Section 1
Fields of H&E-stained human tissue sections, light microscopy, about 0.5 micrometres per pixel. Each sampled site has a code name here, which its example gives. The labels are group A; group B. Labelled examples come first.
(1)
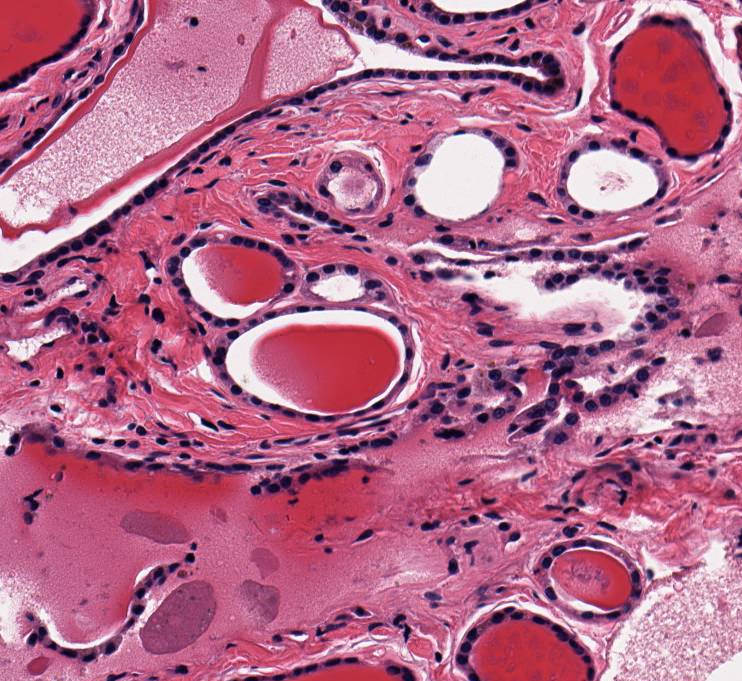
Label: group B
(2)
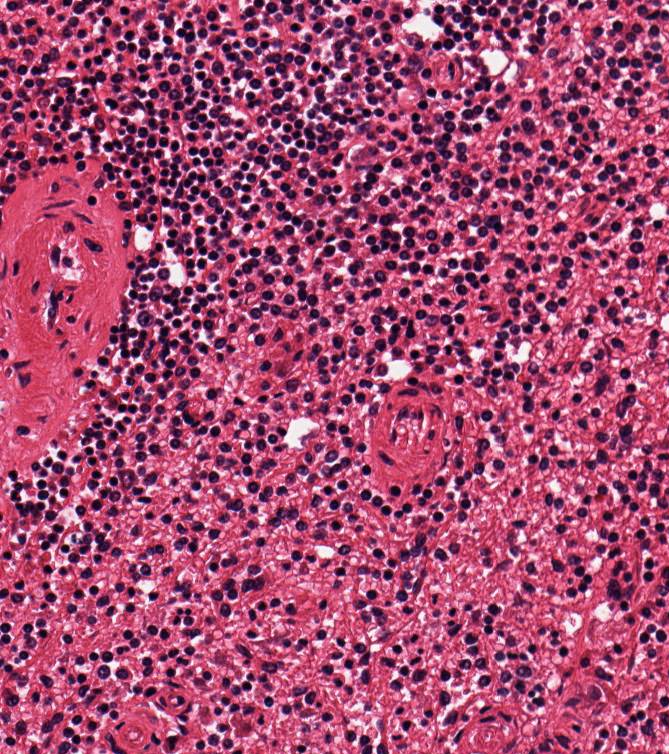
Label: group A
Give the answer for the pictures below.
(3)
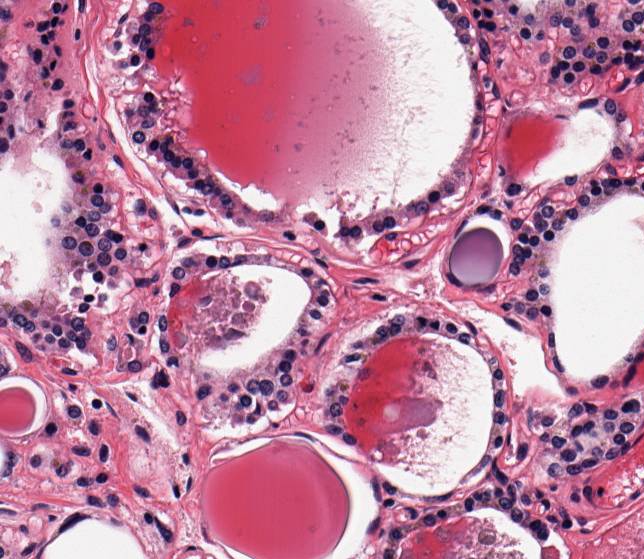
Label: group B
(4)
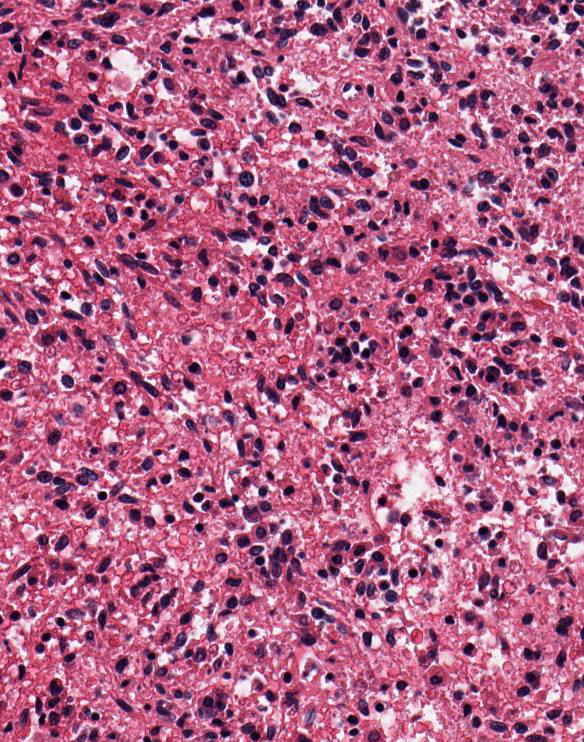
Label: group A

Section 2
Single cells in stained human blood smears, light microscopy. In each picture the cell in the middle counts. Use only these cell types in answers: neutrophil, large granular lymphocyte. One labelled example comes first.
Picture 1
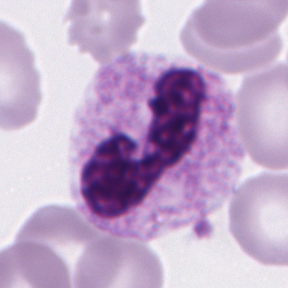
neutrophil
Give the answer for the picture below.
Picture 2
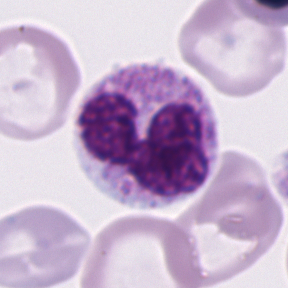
neutrophil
